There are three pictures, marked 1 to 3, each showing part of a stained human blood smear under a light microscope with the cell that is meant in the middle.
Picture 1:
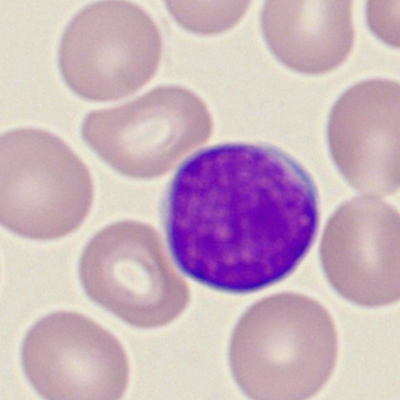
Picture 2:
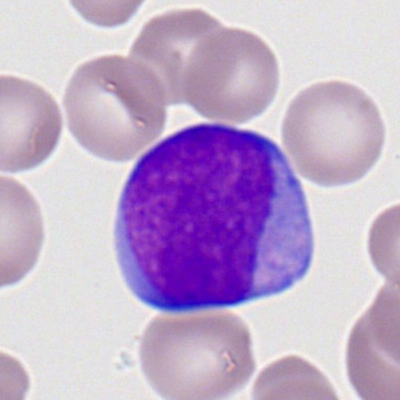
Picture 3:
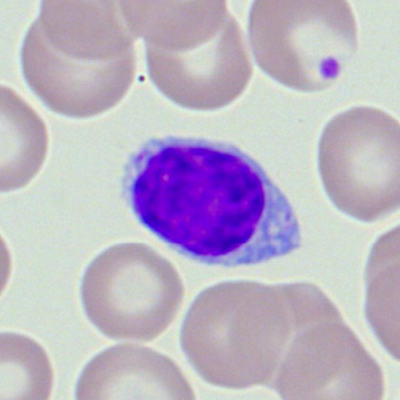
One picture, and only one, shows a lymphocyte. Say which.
3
